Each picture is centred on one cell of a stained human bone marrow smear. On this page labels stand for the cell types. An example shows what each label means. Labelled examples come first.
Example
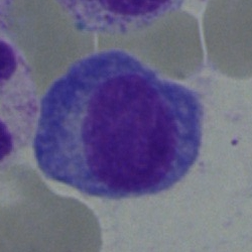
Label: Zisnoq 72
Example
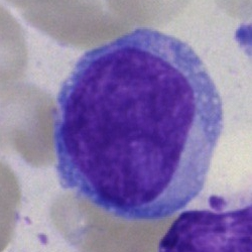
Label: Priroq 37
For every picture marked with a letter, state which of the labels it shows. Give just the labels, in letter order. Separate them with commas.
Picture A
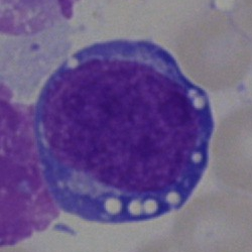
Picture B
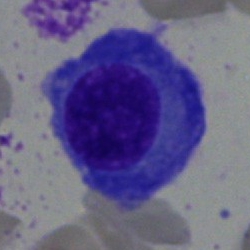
Priroq 37, Zisnoq 72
